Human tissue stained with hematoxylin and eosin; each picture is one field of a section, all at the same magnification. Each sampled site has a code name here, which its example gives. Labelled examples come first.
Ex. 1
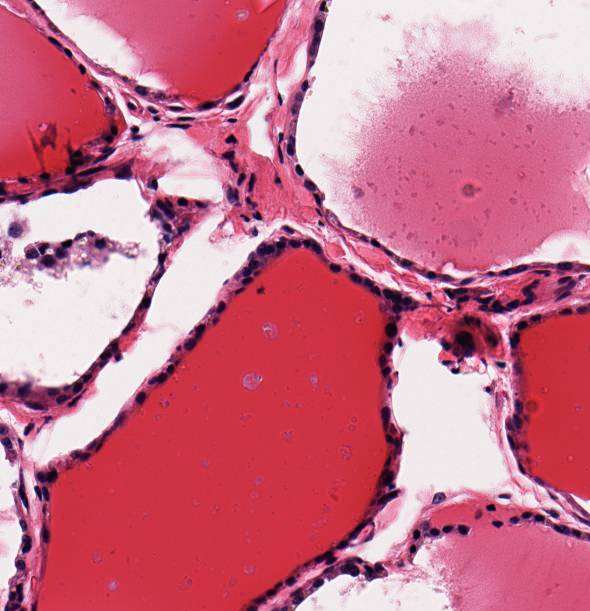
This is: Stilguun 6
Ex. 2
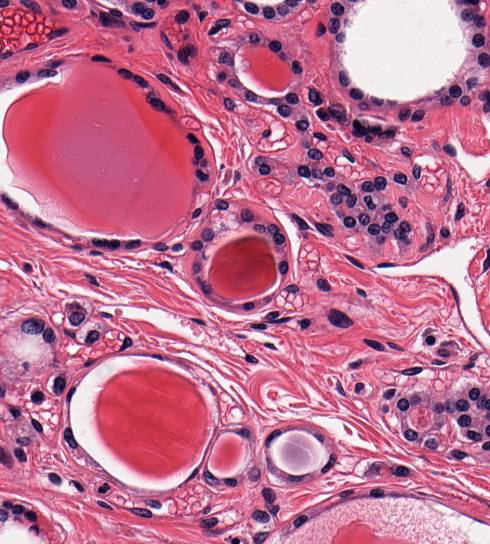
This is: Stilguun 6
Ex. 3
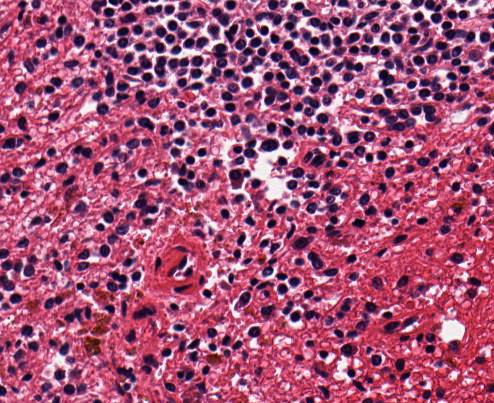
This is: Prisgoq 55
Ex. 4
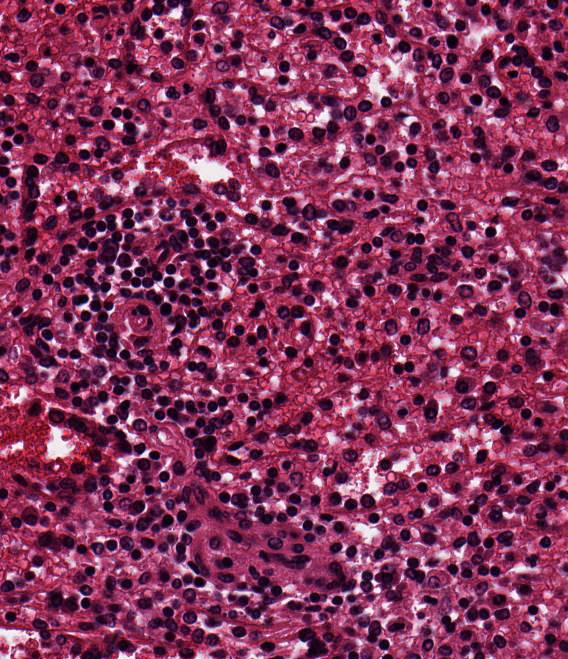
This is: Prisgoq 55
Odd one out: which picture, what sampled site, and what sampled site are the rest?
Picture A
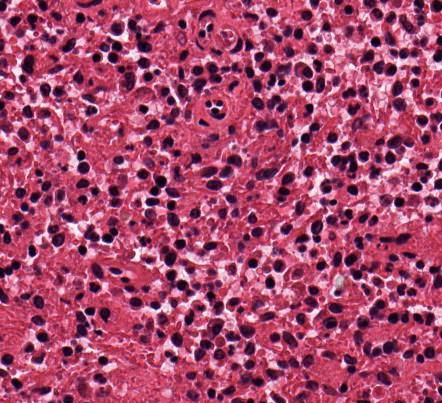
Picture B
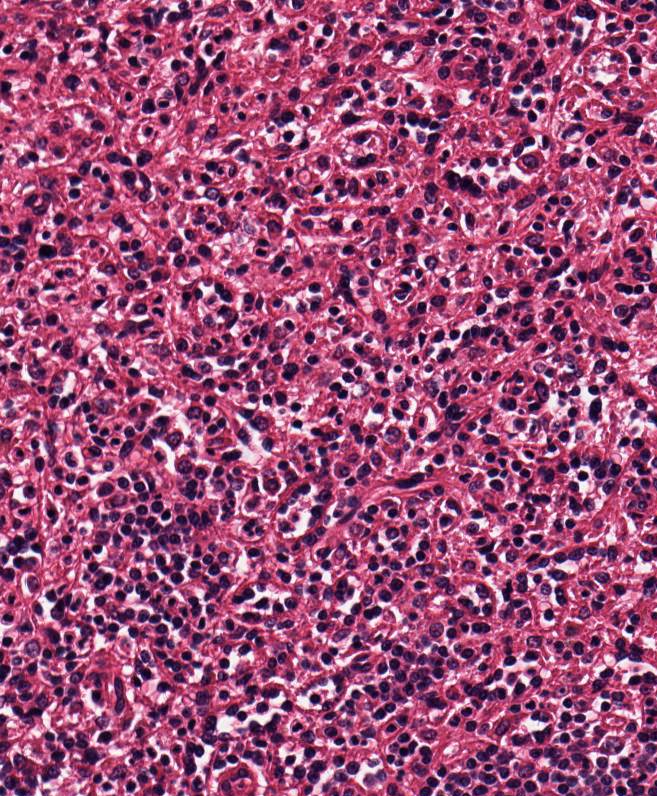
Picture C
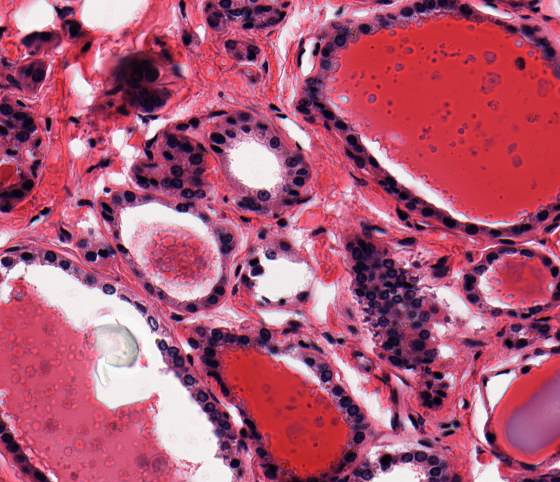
C: Stilguun 6; all the others: Prisgoq 55.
